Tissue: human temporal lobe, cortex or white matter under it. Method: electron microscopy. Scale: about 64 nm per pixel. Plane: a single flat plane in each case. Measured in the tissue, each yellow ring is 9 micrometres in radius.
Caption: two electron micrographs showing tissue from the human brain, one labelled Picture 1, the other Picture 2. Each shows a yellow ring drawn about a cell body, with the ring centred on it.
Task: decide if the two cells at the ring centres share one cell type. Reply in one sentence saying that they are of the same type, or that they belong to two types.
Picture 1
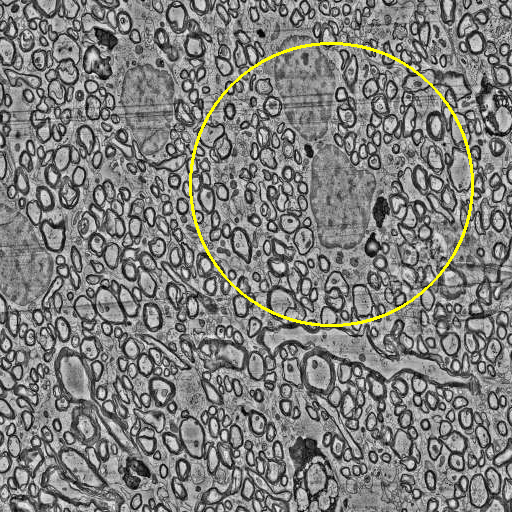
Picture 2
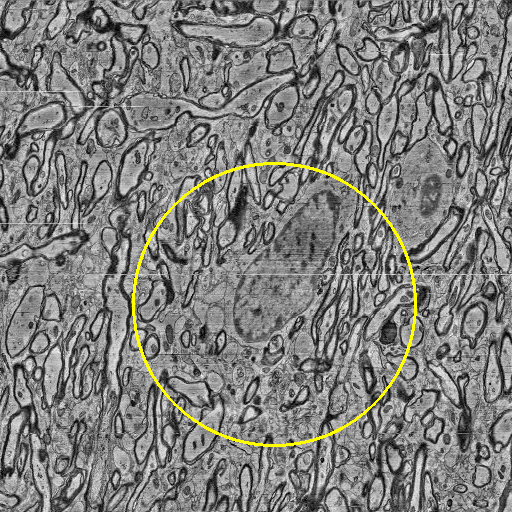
The cells at the ring centres in Picture 1 and Picture 2 belong to two types.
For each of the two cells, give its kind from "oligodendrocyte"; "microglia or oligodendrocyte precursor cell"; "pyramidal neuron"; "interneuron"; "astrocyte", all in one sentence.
The first picture has an oligodendrocyte in its ring, the second has a microglial cell or oligodendrocyte precursor cell.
